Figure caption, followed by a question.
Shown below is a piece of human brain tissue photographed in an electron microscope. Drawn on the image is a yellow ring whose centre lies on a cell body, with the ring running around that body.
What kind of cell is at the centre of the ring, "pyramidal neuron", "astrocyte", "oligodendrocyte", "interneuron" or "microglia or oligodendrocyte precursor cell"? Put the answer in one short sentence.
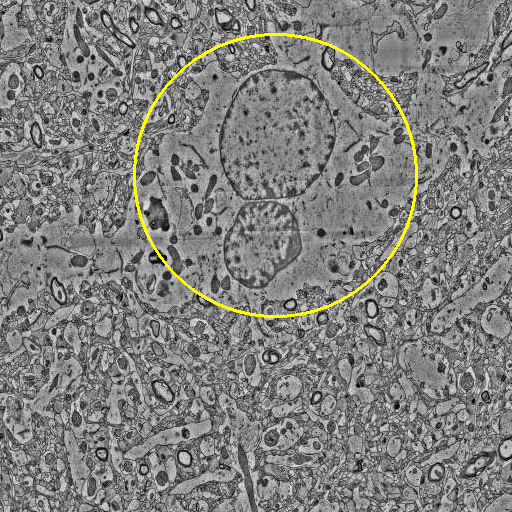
The ring marks the cell body of an astrocyte.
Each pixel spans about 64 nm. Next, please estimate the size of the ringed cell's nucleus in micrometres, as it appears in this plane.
The ringed cell's nucleus is about 9 micrometres long and 7 micrometres wide in this plane.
